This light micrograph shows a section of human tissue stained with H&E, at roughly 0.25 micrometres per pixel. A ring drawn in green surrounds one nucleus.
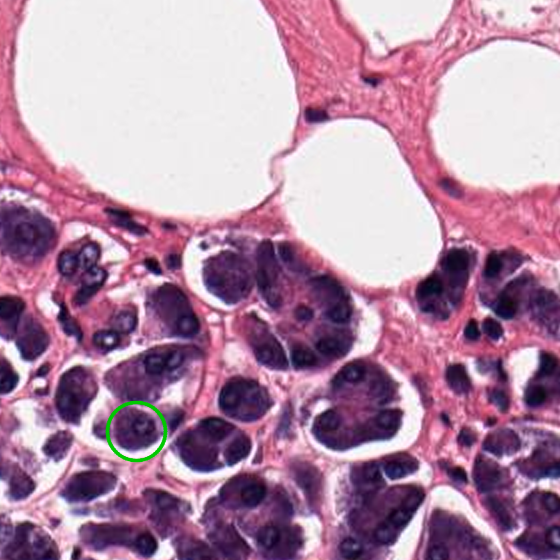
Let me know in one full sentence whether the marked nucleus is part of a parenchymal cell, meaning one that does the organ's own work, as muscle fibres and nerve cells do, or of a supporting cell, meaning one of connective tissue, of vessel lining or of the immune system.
Within a parenchymal cell, namely a pancreatic acinar cell, sits the marked nucleus.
